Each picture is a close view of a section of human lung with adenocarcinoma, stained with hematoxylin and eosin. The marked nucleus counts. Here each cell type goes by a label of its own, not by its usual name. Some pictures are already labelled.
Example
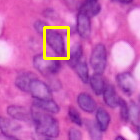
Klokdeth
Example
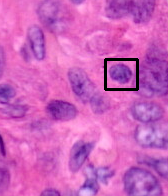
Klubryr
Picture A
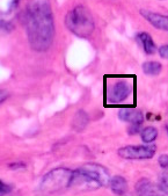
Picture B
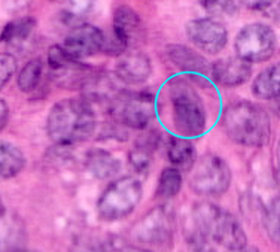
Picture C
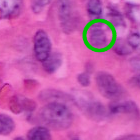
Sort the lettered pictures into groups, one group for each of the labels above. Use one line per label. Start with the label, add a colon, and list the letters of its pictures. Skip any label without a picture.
Klokdeth: B, C
Klubryr: A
